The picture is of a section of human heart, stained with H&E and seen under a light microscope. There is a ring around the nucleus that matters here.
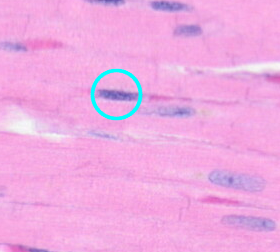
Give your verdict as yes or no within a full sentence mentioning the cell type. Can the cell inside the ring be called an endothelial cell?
Yes, the cell inside the ring is recognized as an endothelial cell in this section.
